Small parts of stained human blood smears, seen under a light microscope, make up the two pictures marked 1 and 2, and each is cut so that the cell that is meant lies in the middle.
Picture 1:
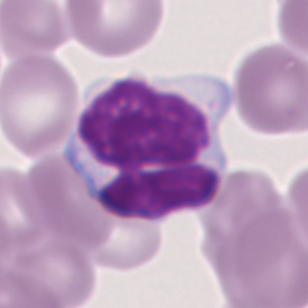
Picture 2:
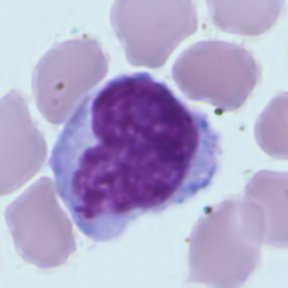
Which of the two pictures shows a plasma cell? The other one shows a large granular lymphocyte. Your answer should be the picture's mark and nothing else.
2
